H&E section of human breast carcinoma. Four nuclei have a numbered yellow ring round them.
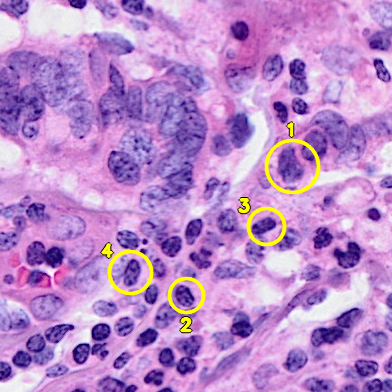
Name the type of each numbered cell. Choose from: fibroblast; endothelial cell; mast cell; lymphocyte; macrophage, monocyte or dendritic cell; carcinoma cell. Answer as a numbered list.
1. carcinoma cell
2. lymphocyte
3. lymphocyte
4. lymphocyte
